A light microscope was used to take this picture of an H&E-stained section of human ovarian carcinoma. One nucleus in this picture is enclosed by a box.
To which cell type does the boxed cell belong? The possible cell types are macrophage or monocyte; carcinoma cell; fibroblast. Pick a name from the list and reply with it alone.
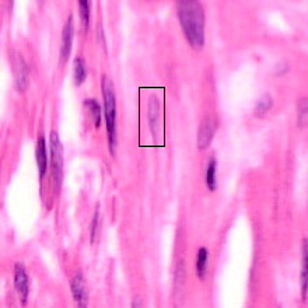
fibroblast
